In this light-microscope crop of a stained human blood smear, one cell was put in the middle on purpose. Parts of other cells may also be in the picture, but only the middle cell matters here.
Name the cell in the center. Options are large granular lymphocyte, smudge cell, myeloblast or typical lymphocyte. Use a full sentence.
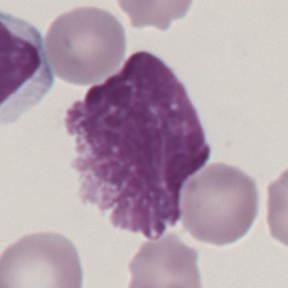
The cell that lies at the centre of the crop is a smudge cell.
